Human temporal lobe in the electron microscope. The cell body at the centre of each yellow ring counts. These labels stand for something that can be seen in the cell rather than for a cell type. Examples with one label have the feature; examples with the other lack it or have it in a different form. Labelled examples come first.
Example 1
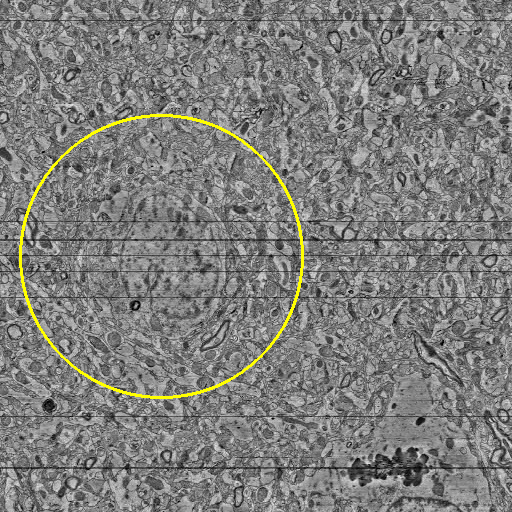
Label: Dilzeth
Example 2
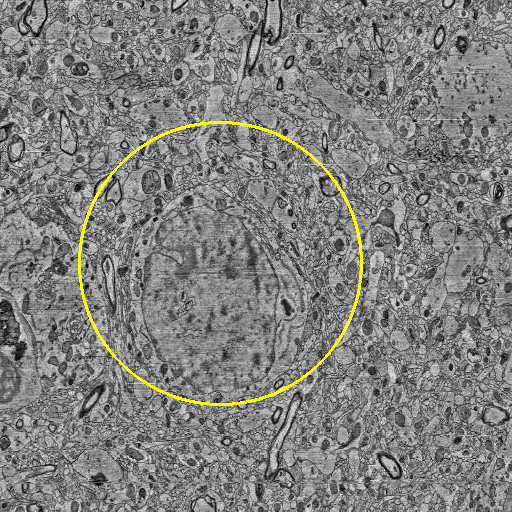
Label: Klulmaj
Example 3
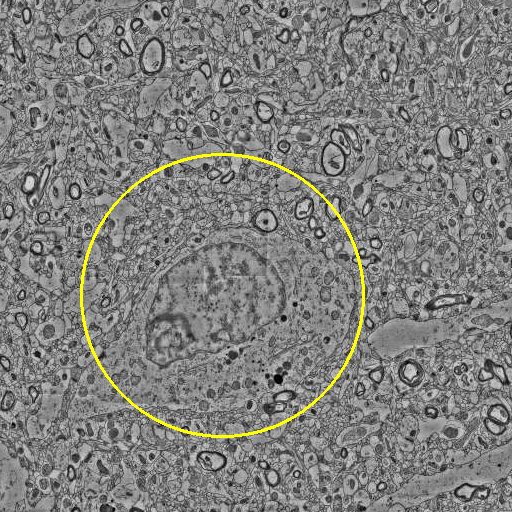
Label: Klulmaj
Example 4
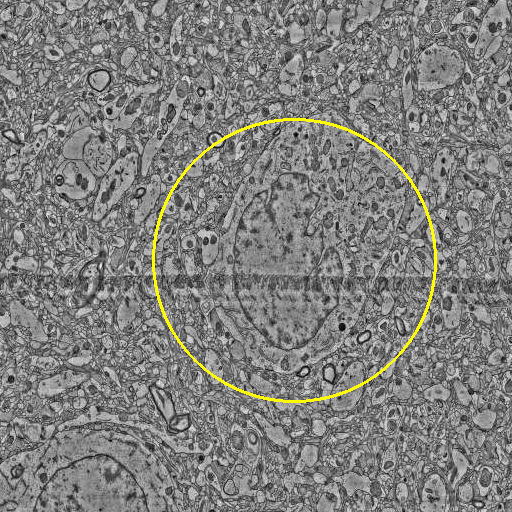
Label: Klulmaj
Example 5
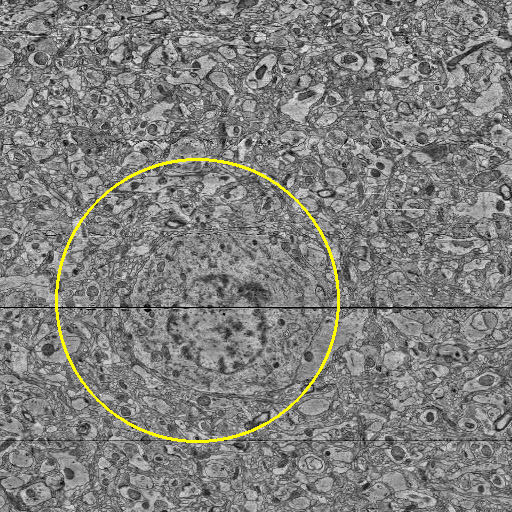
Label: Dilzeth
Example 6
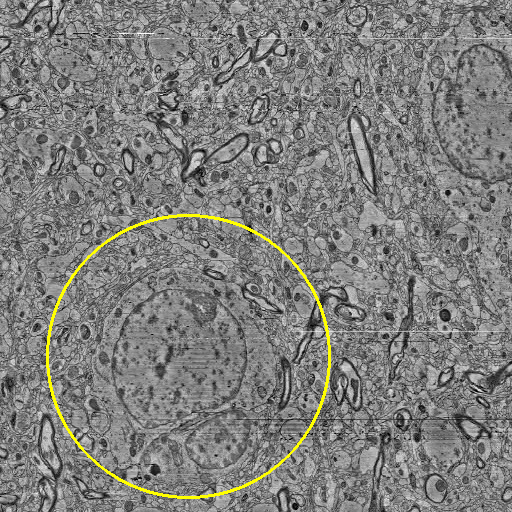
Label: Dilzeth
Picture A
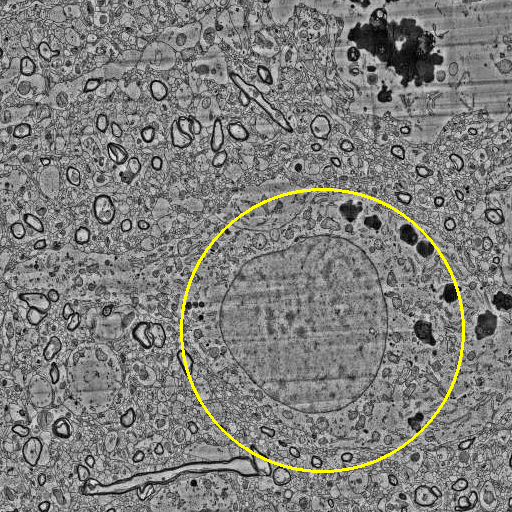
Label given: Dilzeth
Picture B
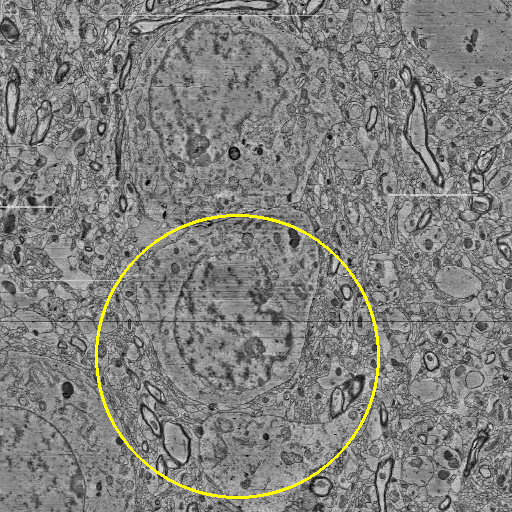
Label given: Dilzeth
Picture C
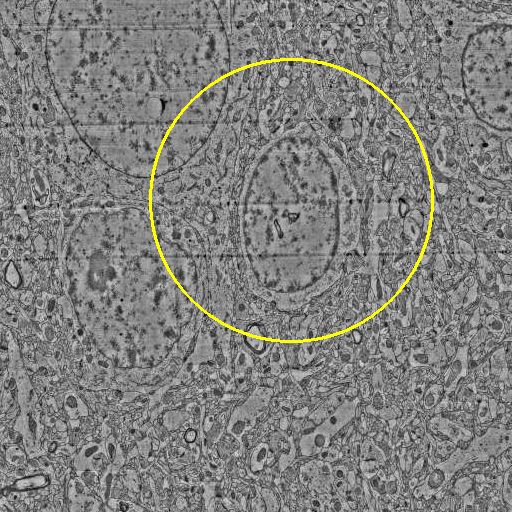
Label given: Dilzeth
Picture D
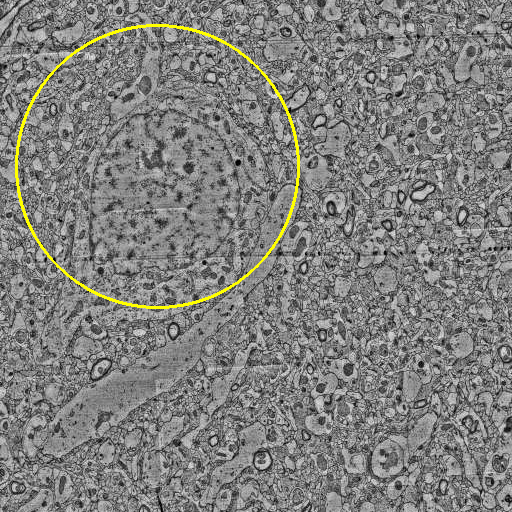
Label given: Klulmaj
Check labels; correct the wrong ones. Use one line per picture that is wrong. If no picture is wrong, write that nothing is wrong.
D: not Klulmaj but Dilzeth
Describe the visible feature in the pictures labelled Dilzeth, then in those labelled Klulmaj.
Dilzeth: smooth nuclear envelopes without deep folds; Klulmaj: deeply folded or indented nuclear envelopes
